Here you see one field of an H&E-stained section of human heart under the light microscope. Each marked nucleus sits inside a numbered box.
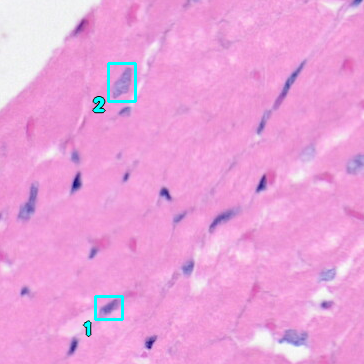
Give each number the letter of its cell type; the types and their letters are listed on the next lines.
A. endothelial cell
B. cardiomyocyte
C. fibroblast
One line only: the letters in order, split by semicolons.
C; B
